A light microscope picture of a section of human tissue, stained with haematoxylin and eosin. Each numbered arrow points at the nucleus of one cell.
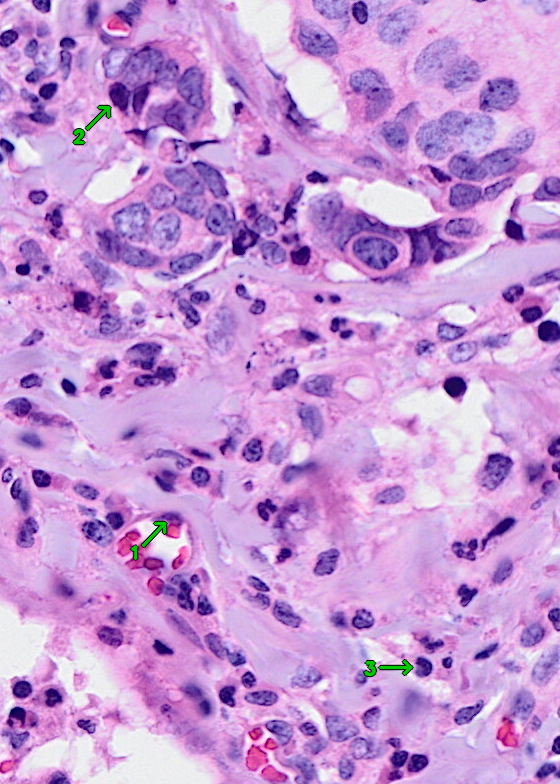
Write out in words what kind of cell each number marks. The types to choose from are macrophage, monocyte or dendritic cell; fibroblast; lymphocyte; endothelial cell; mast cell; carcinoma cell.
Cell 1 is an endothelial cell, cell 2 is a carcinoma cell and cell 3 is a lymphocyte.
